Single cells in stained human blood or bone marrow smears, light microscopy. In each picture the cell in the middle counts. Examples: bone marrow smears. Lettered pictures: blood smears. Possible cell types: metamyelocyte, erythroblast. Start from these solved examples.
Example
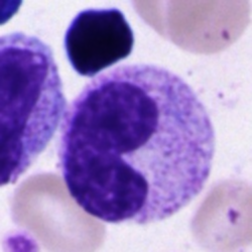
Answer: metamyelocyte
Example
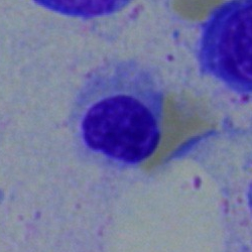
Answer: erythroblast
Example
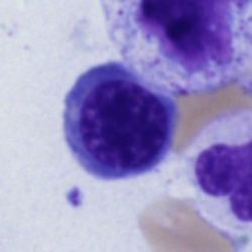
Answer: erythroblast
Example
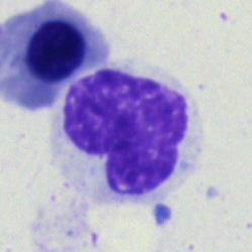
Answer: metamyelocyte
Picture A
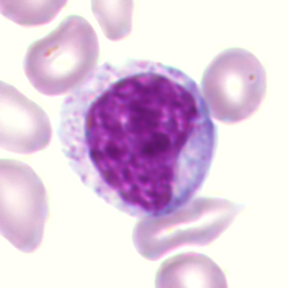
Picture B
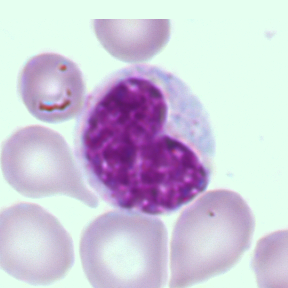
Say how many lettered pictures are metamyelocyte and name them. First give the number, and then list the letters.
2, namely A, B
